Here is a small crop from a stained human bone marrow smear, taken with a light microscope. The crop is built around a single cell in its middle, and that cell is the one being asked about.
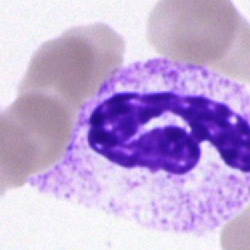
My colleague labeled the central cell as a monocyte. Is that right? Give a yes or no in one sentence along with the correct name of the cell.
No, the central cell should be identified as a neutrophil, not as a monocyte.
